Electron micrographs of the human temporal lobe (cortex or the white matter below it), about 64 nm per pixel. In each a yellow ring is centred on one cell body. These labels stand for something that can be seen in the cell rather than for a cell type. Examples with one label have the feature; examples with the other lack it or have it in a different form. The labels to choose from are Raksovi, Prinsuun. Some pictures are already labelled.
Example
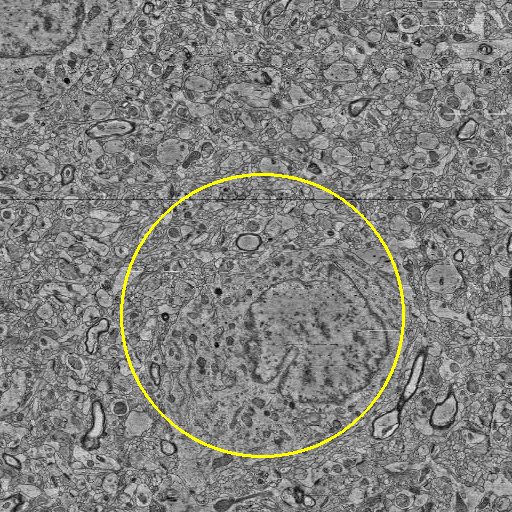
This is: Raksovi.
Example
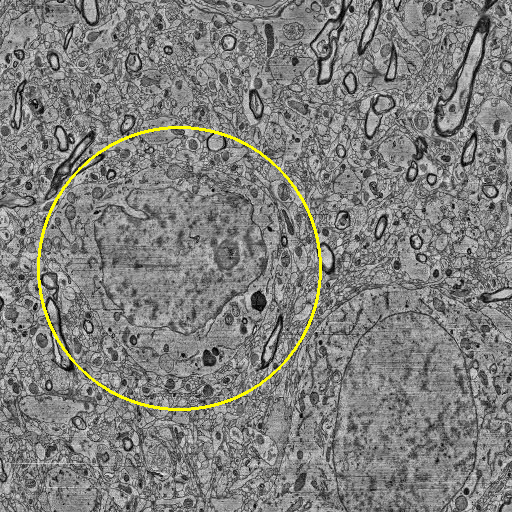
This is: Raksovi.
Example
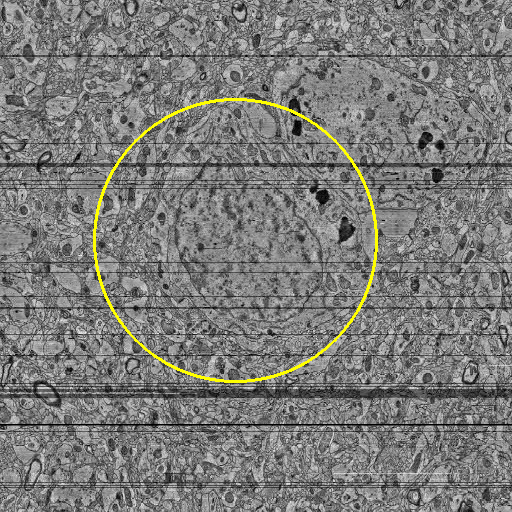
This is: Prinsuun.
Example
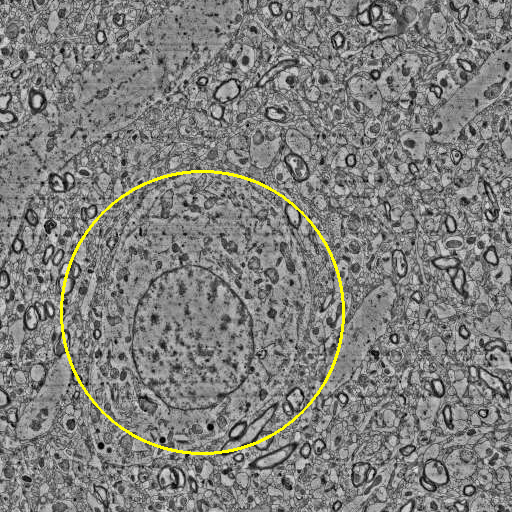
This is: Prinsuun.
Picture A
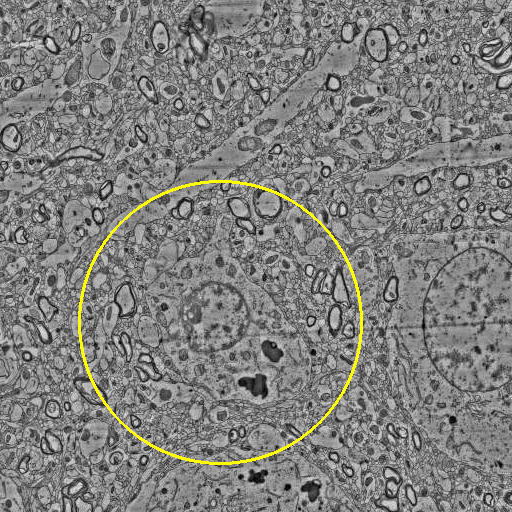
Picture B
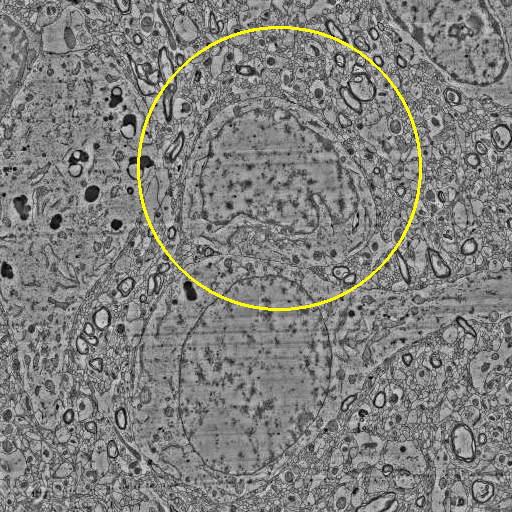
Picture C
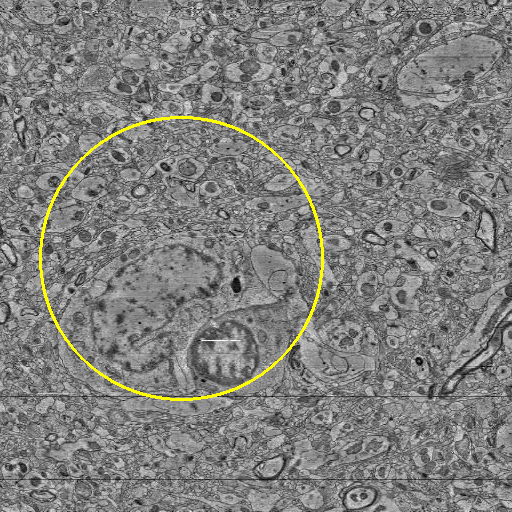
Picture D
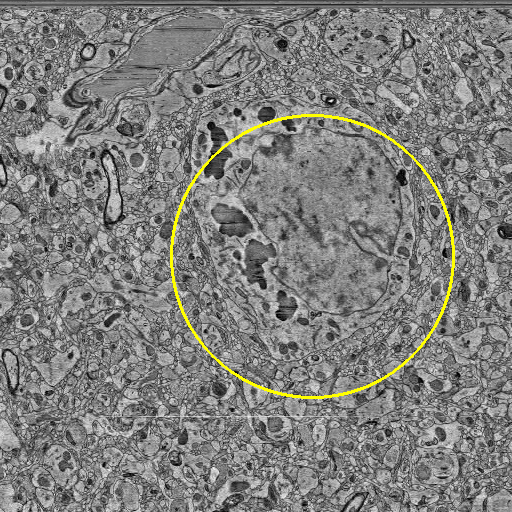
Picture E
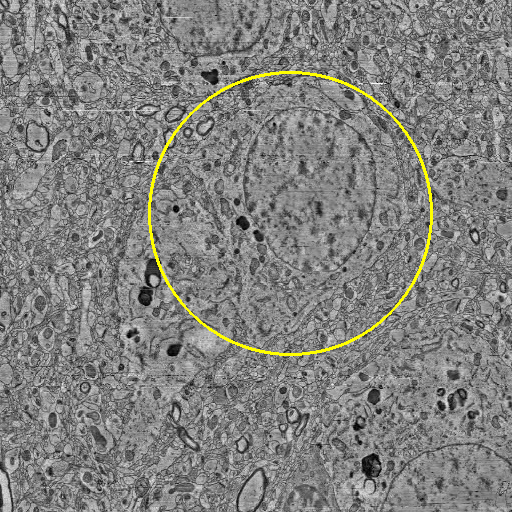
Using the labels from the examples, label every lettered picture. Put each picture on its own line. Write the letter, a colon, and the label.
A: Prinsuun.
B: Raksovi.
C: Raksovi.
D: Raksovi.
E: Prinsuun.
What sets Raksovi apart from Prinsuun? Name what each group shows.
Seen in Raksovi: deeply folded or indented nuclear envelopes; seen in Prinsuun: smooth nuclear envelopes without deep folds.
